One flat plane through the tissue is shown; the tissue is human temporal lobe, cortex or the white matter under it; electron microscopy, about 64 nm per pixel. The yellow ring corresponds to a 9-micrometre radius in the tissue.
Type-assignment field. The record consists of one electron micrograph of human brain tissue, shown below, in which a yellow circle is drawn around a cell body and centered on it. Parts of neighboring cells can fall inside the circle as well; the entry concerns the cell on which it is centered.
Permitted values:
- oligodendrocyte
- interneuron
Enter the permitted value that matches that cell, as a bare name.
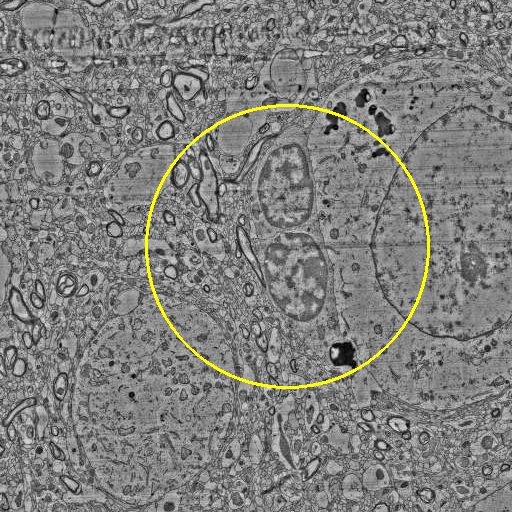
oligodendrocyte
